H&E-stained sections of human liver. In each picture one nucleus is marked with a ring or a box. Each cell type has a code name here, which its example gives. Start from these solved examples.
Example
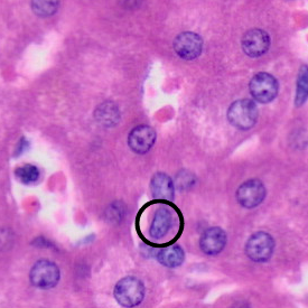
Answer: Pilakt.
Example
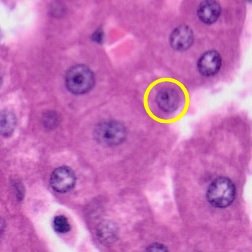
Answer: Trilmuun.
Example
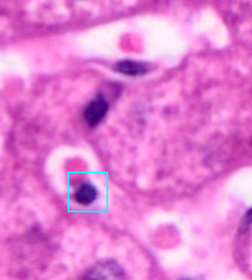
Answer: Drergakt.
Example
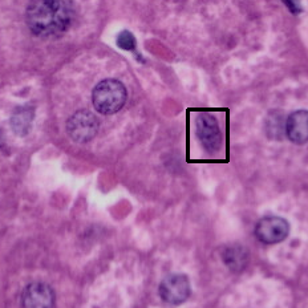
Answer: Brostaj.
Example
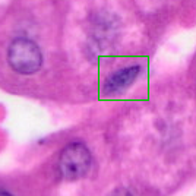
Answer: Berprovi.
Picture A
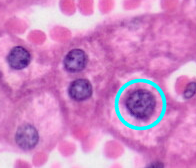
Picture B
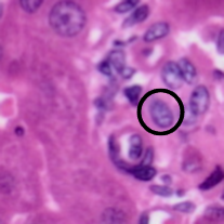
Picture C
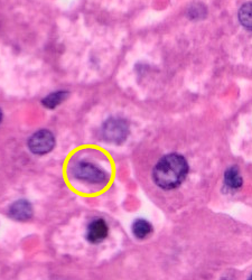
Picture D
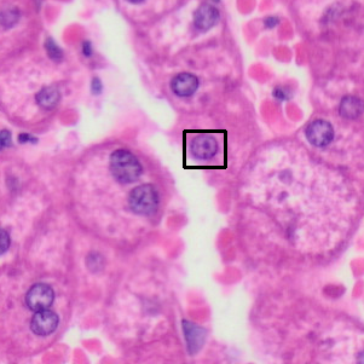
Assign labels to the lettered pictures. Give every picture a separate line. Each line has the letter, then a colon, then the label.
A: Trilmuun.
B: Pilakt.
C: Brostaj.
D: Trilmuun.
